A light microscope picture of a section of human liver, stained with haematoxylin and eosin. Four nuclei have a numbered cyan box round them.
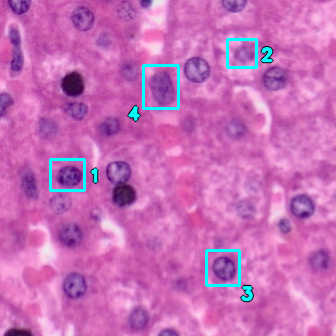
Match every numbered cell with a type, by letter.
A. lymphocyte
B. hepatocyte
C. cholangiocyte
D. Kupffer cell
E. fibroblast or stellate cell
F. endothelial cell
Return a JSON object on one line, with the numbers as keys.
{"1": "B", "2": "B", "3": "B", "4": "F"}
